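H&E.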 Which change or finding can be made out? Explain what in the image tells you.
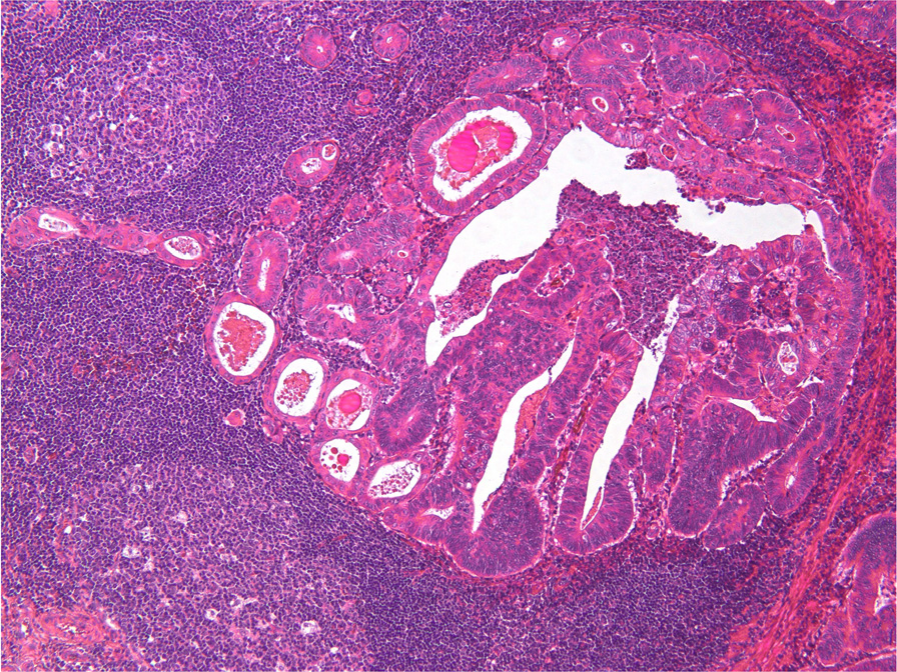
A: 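Crowded glands lined by columnar cells with elongated, stratified nuclei. Glands are packed back to back in a nodule set within densely cellular lymphoid tissue. That points to this answer: Adenocarcinoma.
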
